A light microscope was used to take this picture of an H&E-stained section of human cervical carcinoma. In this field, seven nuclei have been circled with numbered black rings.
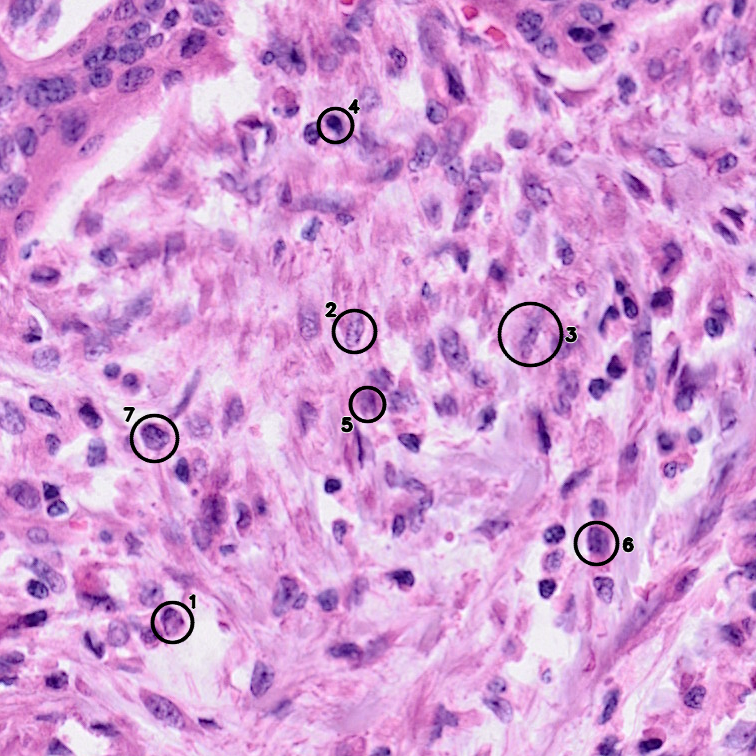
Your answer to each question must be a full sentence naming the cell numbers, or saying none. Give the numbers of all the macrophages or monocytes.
The cells that the numbers 1, 6 and 7 belong to are macrophages or monocytes.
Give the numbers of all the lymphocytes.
In short, cell 4 is a lymphocyte; the others are not.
